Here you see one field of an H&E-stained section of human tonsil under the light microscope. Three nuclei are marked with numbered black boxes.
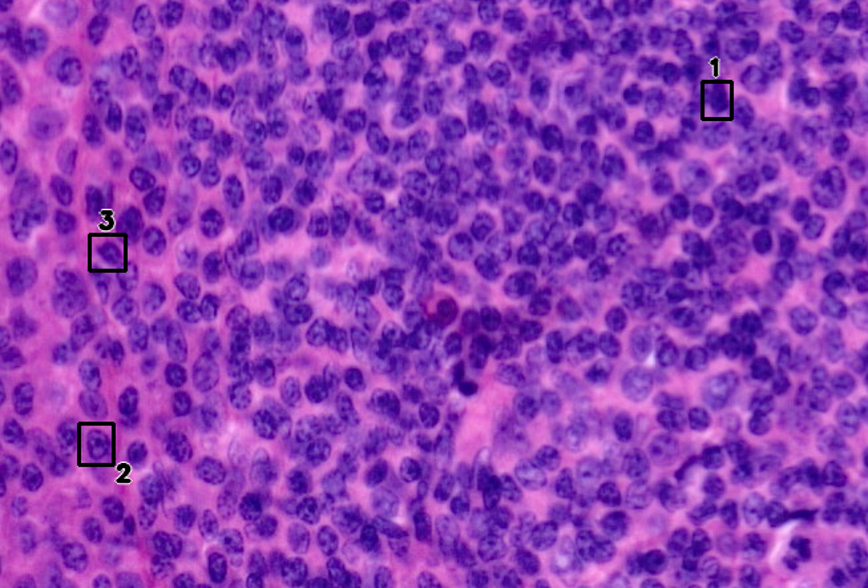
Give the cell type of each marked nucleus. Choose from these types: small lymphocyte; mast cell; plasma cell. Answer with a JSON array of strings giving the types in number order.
["small lymphocyte", "plasma cell", "plasma cell"]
